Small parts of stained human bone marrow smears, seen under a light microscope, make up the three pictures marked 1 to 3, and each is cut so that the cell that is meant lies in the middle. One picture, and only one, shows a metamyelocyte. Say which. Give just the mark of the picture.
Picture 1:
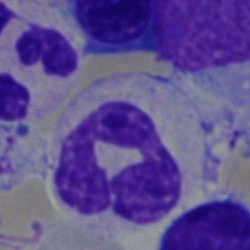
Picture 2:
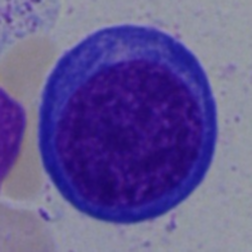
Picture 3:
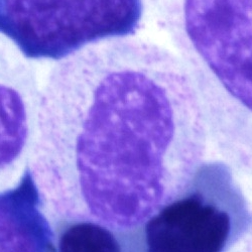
3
